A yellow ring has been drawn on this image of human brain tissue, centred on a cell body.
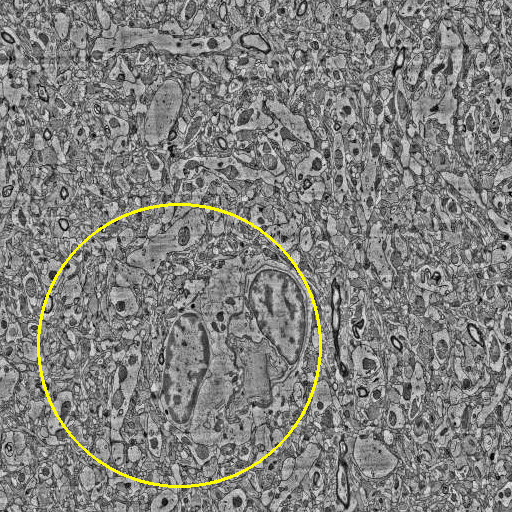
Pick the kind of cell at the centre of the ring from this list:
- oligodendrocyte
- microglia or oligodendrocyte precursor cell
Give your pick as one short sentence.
The centre of the ring holds a microglial cell or oligodendrocyte precursor cell.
